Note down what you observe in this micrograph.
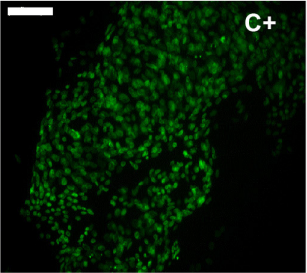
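The nuclei are small, round to oval and closely spaced, forming a broad continuous band that crosses the field, with dark unlabelled areas at the corners. The intensity of labelling varies somewhat from nucleus to nucleus, and no cytoplasmic outlines are distinct.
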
